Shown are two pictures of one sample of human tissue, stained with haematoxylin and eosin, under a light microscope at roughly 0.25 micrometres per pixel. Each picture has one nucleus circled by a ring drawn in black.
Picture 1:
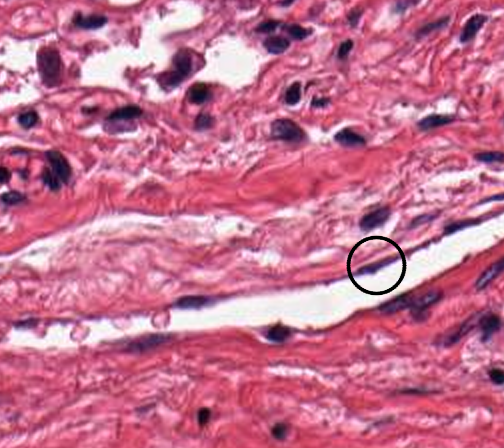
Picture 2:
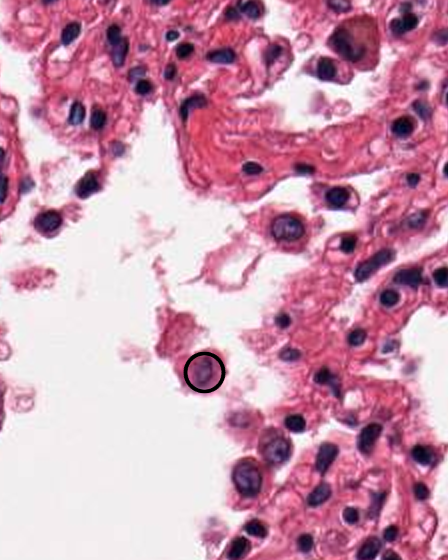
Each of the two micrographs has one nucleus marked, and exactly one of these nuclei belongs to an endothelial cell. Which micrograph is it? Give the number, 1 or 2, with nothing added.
1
